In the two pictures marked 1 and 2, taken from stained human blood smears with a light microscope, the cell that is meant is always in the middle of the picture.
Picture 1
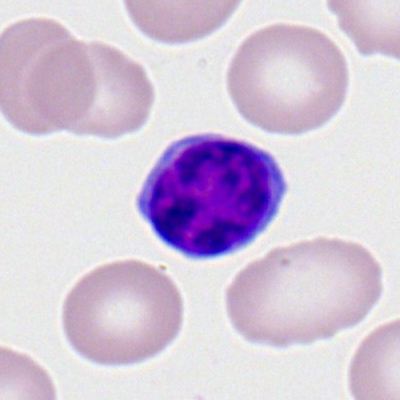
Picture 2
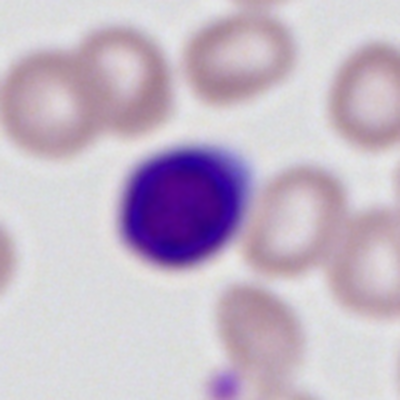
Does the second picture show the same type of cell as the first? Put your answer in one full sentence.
Yes, the two pictures both show lymphocytes.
